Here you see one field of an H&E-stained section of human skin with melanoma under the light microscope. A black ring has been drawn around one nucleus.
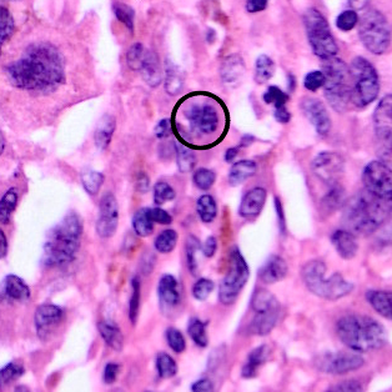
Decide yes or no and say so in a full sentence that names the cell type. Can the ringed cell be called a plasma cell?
Yes, in this section the ringed cell is a plasma cell.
